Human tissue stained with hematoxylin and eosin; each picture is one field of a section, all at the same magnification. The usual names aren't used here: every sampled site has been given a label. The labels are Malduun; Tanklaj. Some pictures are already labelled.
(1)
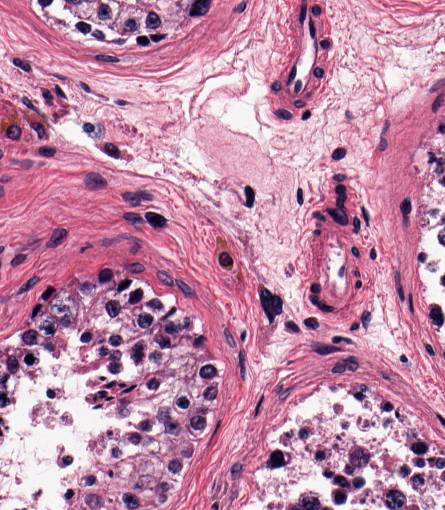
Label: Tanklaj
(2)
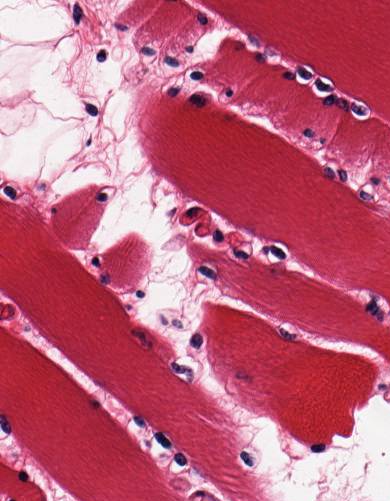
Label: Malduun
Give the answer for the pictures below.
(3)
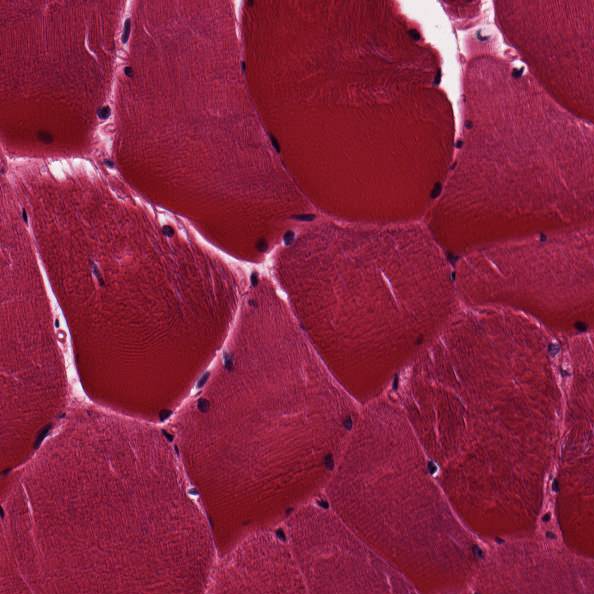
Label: Malduun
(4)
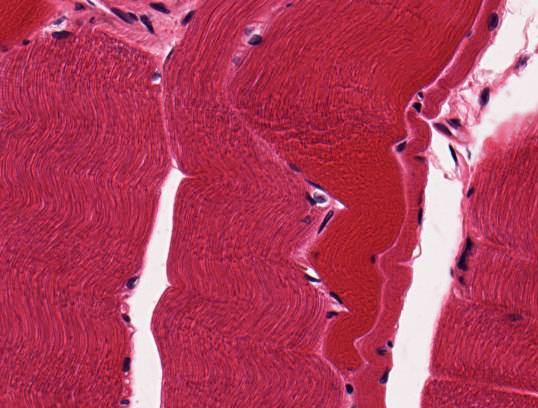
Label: Malduun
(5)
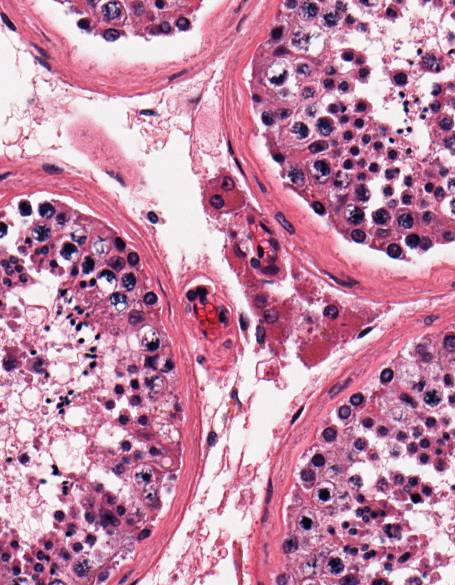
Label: Tanklaj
